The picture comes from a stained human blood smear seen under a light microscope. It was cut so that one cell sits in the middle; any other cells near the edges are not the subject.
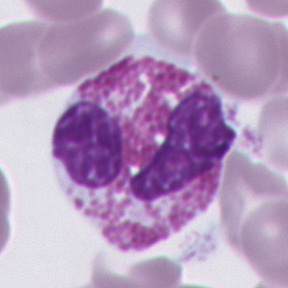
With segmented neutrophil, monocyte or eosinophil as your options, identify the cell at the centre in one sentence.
Occupying the centre of the crop is an eosinophil.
